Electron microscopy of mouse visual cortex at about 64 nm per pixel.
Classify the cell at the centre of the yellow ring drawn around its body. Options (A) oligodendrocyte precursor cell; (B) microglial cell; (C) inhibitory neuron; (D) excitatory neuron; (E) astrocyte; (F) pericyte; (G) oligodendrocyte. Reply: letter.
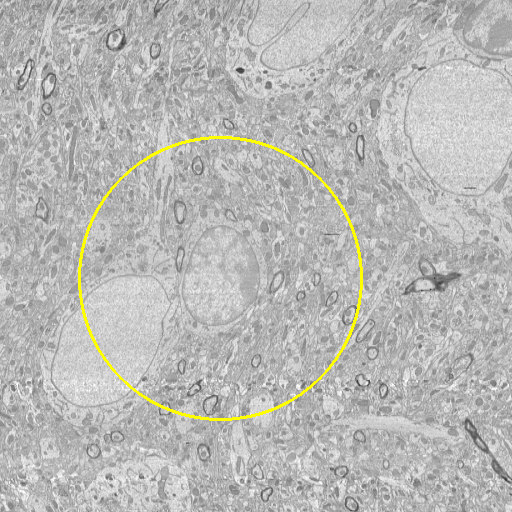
G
